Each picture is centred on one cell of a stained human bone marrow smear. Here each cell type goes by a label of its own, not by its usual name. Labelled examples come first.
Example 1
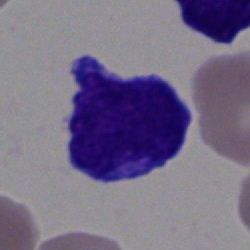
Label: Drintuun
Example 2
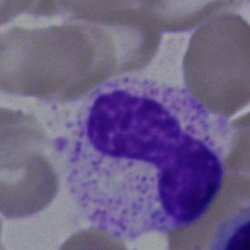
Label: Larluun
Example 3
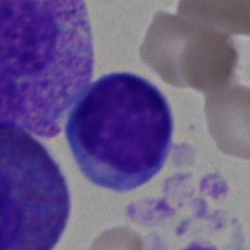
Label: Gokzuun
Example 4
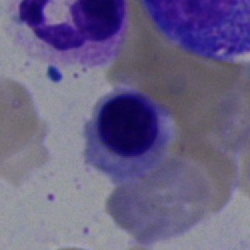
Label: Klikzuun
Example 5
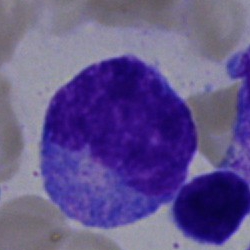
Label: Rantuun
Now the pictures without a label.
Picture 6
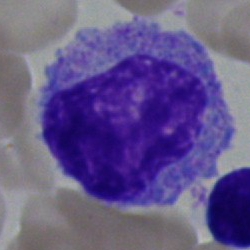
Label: Rantuun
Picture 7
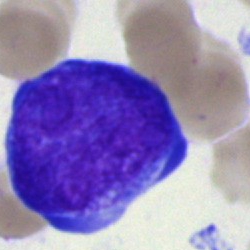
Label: Drintuun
